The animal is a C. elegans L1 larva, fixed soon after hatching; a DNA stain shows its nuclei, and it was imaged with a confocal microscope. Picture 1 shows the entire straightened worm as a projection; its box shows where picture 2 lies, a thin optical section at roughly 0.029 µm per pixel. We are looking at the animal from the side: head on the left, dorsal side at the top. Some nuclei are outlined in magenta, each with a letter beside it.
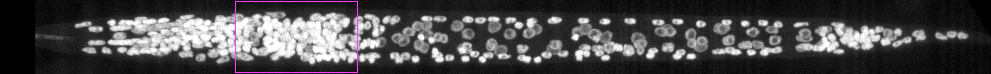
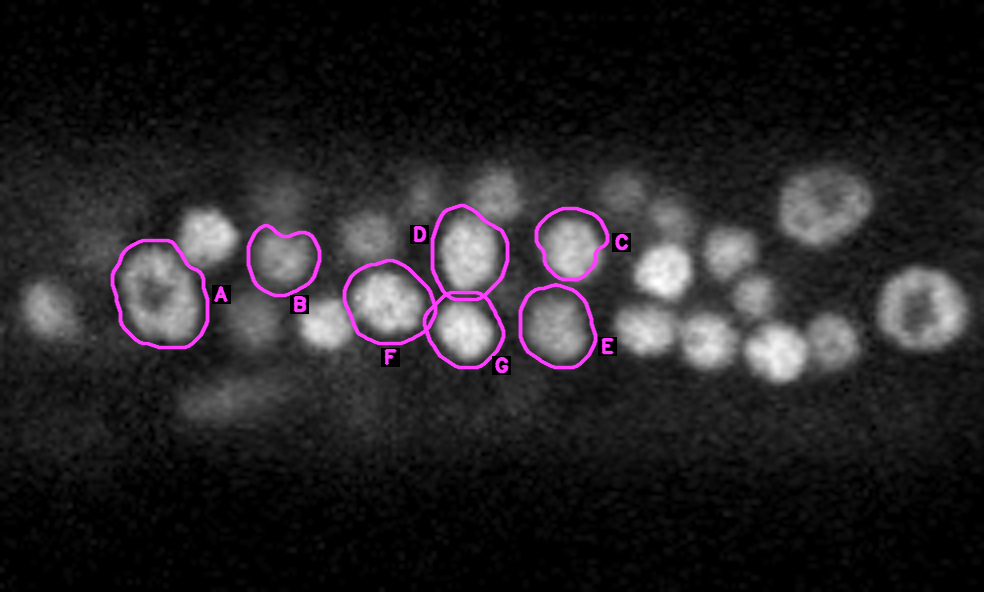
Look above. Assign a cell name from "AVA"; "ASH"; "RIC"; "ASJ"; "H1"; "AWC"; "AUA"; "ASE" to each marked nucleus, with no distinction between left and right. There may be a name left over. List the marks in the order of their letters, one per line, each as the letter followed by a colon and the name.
A: H1
B: AVA
C: ASE
D: ASH
E: ASJ
F: AWC
G: AUA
